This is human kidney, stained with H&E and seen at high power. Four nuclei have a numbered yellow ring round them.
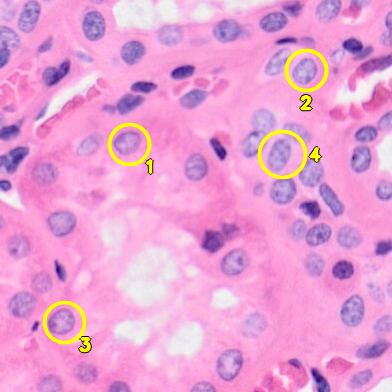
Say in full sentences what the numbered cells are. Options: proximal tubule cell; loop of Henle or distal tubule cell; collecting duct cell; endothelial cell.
Cells 1 and 3 are proximal tubule cells. Cells 2 and 4 are collecting duct cells.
